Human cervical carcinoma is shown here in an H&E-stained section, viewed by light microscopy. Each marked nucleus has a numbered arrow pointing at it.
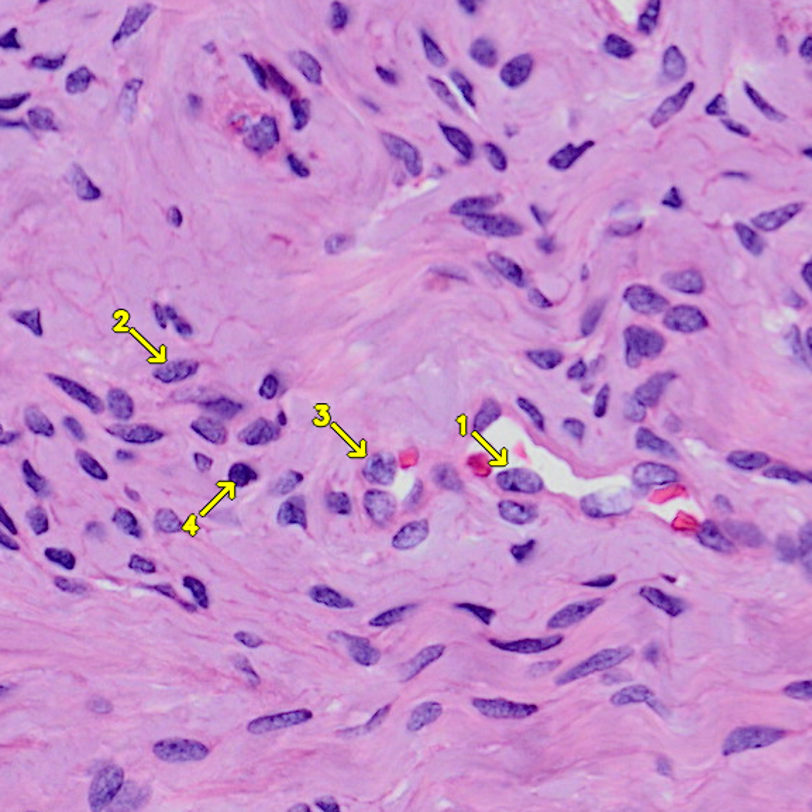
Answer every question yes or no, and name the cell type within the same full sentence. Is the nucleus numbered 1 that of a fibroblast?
No, the cell tagged 1 is an endothelial cell, and not a fibroblast.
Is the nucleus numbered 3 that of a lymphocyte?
No, number 3 corresponds to an endothelial cell, not a lymphocyte.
